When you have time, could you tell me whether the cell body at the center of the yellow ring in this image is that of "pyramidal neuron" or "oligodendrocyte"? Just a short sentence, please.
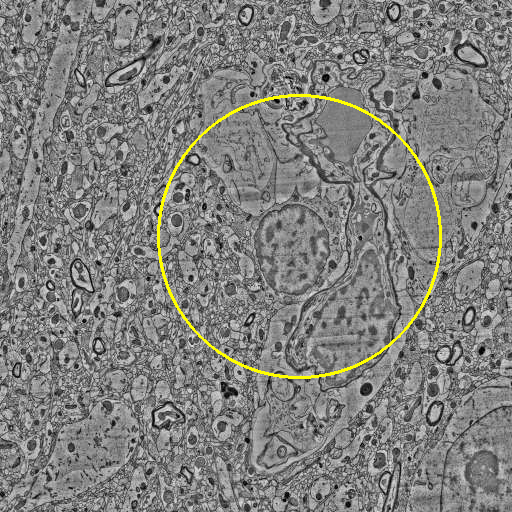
The cell body at the center of the ring is that of an oligodendrocyte.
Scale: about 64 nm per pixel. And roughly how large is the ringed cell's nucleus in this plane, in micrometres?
The nucleus of the ringed cell is approximately 6 by 5 micrometres in this plane.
